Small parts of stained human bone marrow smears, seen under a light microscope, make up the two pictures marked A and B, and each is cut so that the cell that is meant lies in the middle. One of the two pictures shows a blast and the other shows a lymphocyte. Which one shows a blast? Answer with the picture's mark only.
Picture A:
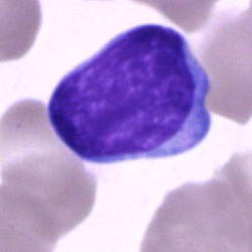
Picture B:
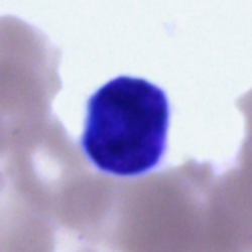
A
